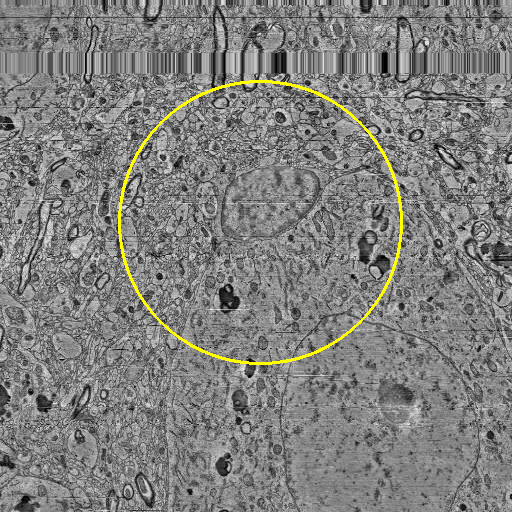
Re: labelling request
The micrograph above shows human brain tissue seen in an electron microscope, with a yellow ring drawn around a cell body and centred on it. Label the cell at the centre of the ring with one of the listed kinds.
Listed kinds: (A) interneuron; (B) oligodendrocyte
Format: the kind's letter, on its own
B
